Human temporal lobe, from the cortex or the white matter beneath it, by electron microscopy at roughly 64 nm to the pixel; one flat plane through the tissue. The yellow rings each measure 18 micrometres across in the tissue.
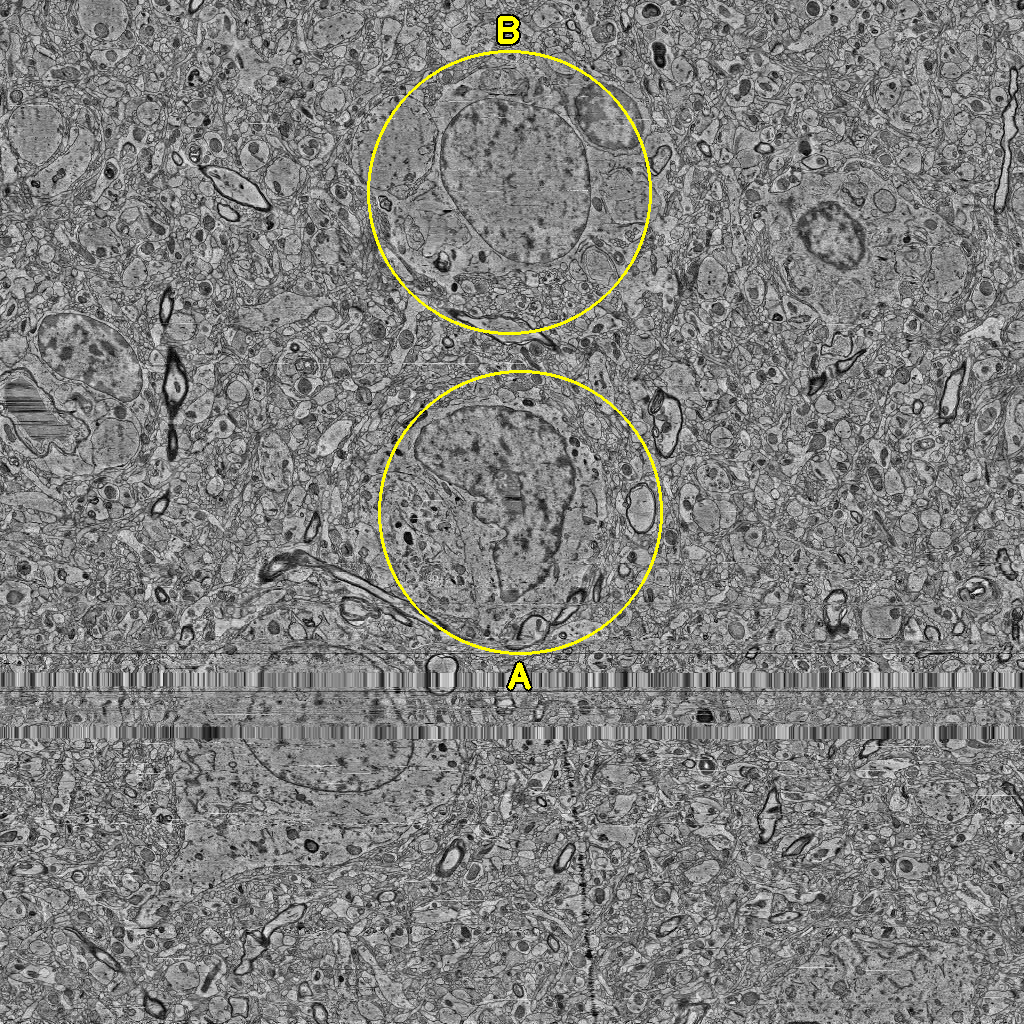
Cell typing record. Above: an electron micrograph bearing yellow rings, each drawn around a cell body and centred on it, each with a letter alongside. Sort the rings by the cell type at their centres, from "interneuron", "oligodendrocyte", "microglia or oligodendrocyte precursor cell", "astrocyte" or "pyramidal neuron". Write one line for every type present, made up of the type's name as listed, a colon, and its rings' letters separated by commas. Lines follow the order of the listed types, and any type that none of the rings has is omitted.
microglia or oligodendrocyte precursor cell: A
astrocyte: B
